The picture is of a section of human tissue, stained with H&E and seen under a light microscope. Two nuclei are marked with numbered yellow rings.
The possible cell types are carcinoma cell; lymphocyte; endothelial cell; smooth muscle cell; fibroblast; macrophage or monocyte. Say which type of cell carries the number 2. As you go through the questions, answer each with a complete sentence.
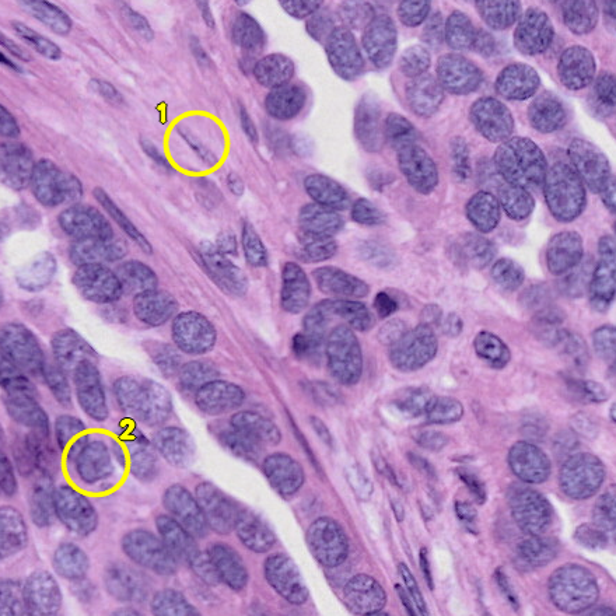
Cell 2 of the marked set is a carcinoma cell.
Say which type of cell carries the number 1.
In this section, the cell tagged 1 is a fibroblast.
